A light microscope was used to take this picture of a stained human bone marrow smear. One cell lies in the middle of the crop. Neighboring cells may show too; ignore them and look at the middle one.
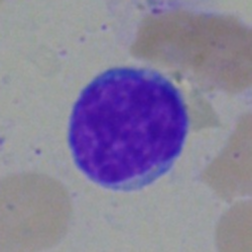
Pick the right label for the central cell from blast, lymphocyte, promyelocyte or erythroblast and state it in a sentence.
The cell of interest, located centrally, is a lymphocyte.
